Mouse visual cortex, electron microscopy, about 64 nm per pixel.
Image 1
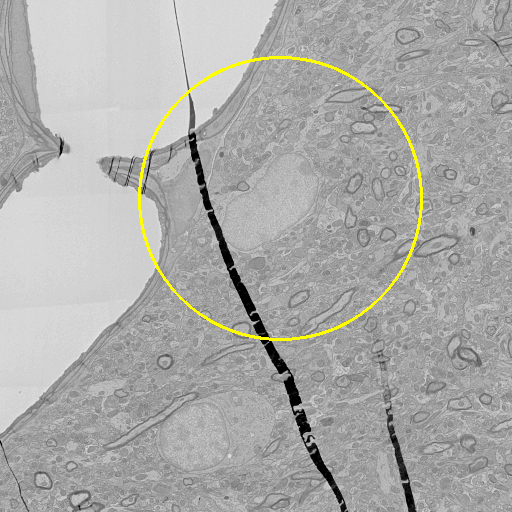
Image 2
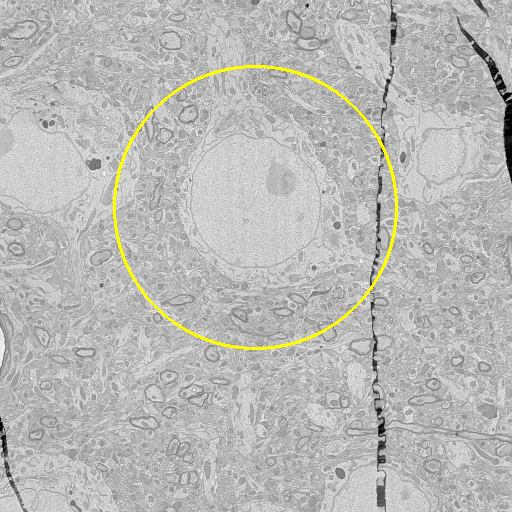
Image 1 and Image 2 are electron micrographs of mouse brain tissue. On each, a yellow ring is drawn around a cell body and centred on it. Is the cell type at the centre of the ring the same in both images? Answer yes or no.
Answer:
no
